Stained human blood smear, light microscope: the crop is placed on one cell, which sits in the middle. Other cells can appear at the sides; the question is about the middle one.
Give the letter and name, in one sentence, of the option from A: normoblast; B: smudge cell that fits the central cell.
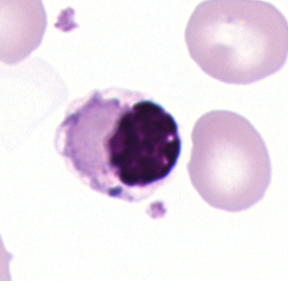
At the centre of the crop lies a normoblast, which makes option A correct.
